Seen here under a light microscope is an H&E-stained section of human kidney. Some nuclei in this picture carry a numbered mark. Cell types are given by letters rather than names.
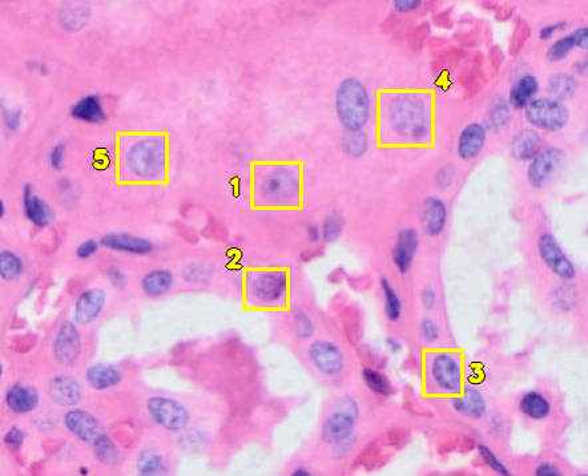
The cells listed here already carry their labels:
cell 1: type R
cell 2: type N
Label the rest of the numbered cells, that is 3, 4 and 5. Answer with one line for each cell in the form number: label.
3: type N
4: type R
5: type R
